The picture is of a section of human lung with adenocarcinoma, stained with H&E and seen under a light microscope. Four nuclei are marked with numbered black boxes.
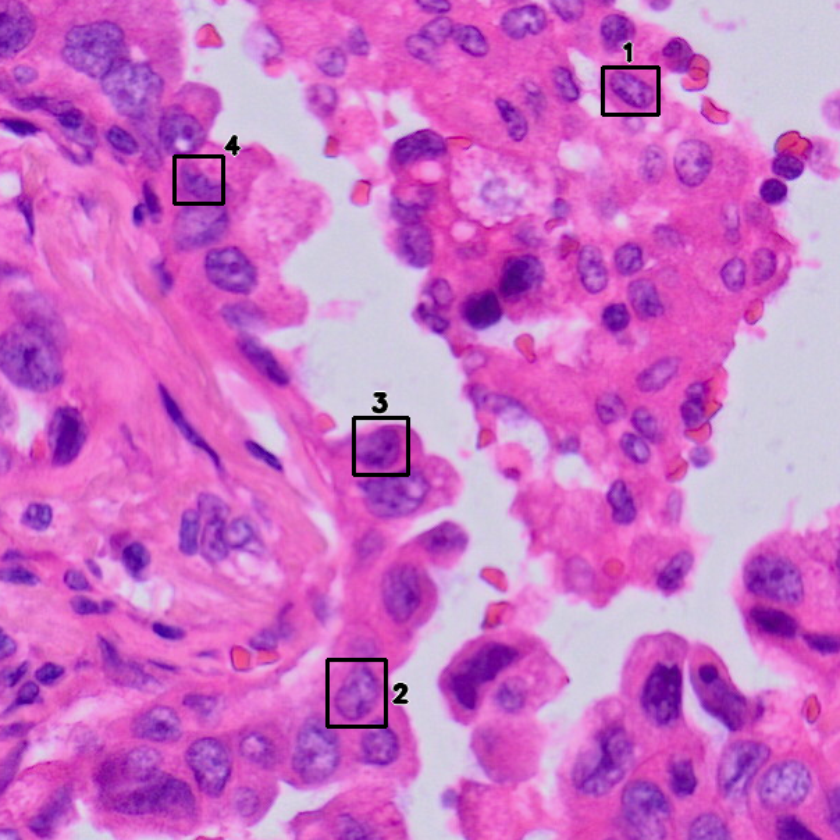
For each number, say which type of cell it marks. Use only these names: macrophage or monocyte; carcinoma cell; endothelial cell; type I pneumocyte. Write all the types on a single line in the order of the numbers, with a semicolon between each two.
macrophage or monocyte; carcinoma cell; carcinoma cell; carcinoma cell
